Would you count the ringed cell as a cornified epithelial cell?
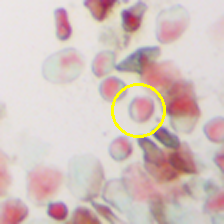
No, I would count it as a nucleated epithelial cell.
